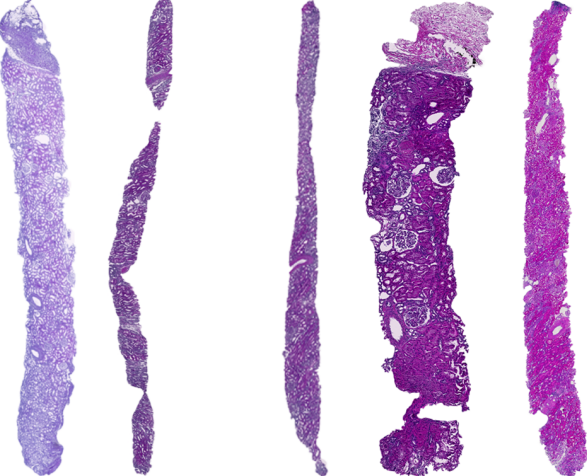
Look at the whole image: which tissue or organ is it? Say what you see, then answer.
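Long narrow cores of tissue, typical of needle biopsies. The cores are packed with small tubular cross-sections. Round glomerulus-like bodies are visible in at least one core.
Kidney.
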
